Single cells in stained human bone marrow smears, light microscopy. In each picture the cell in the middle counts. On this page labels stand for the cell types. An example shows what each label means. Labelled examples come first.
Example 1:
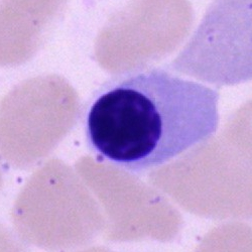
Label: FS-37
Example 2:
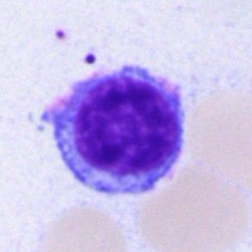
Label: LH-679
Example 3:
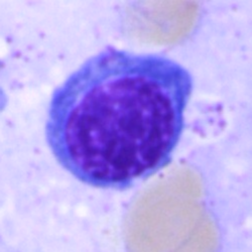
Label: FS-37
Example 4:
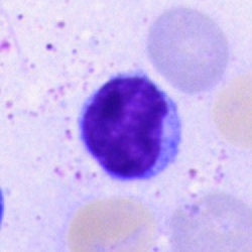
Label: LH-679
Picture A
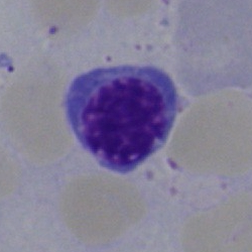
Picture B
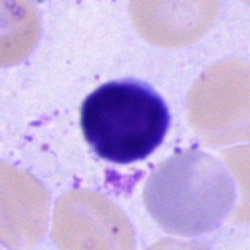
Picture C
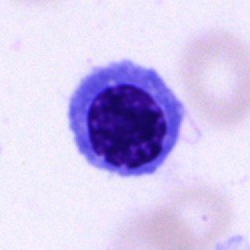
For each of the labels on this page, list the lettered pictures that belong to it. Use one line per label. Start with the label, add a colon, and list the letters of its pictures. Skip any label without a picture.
FS-37: A, C
LH-679: B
